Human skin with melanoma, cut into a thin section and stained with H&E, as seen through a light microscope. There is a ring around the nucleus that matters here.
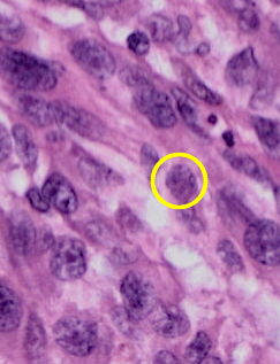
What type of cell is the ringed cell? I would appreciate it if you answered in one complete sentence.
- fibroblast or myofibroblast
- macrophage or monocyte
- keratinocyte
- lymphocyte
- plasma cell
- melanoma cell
Histopathologically, the ringed cell is a melanoma cell.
